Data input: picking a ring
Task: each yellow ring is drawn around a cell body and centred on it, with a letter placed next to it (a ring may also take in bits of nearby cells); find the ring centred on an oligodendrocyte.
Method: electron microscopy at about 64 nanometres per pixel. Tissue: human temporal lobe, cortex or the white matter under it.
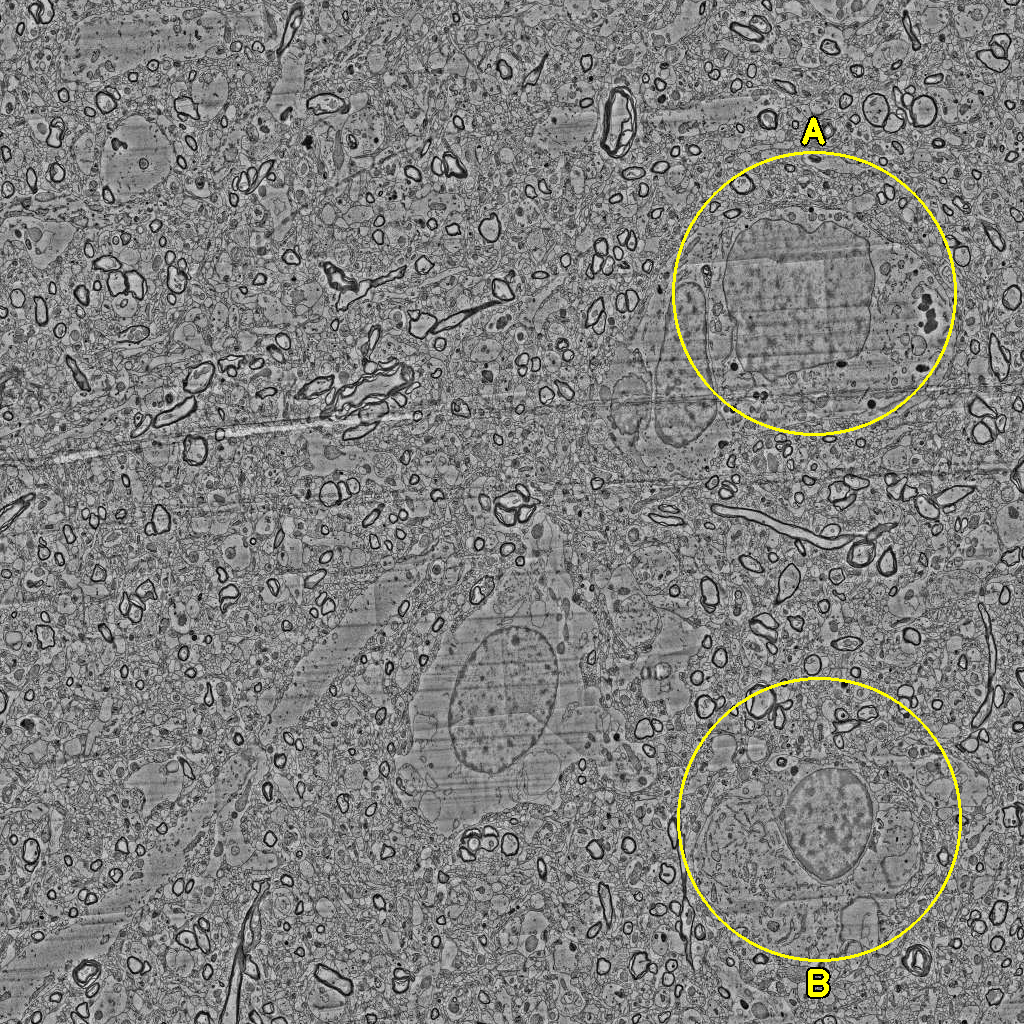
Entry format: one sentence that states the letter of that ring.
In the picture, the cell asked for sits at the centre of ring B.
